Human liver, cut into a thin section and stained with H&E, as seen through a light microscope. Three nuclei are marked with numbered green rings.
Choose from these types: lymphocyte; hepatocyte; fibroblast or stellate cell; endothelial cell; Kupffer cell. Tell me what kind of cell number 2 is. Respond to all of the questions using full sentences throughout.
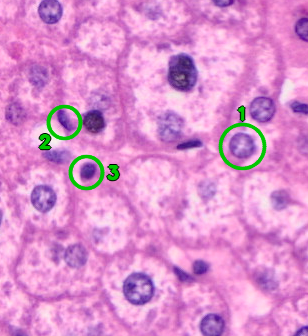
The cell that bears the number 2 is a fibroblast or stellate cell.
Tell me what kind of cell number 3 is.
The correct answer for cell 3 is a lymphocyte.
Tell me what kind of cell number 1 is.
The cell whose nucleus carries the number 1 is a hepatocyte.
